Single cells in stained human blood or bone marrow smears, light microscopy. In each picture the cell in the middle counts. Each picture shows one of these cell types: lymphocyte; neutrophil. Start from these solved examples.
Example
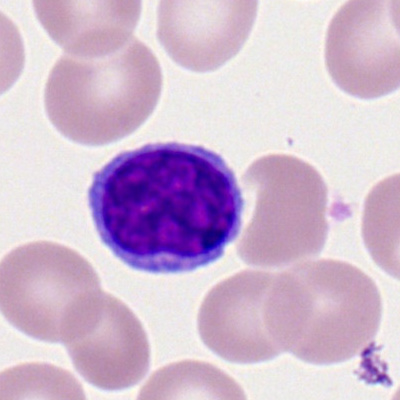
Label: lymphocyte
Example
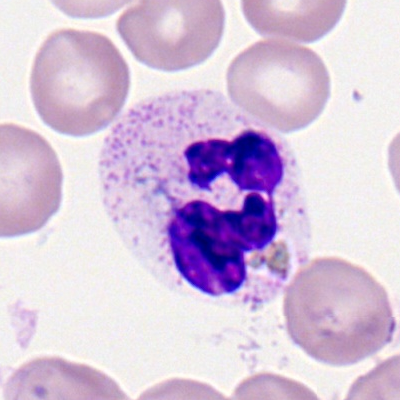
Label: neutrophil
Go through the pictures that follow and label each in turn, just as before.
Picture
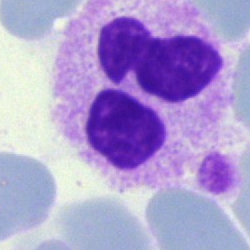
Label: neutrophil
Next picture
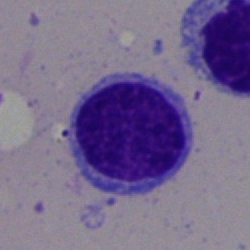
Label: lymphocyte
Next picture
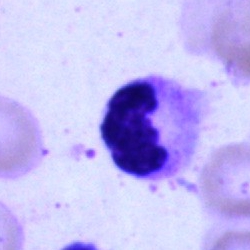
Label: neutrophil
